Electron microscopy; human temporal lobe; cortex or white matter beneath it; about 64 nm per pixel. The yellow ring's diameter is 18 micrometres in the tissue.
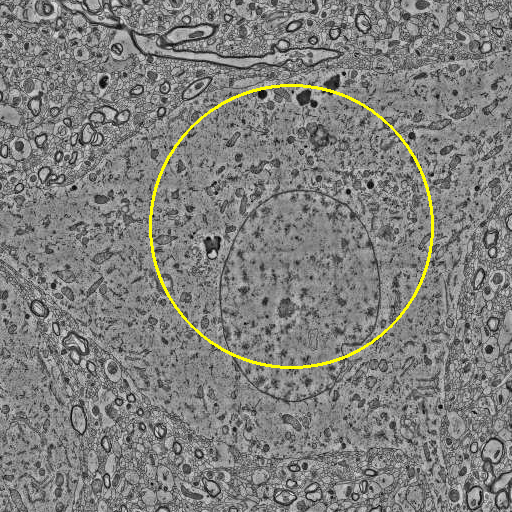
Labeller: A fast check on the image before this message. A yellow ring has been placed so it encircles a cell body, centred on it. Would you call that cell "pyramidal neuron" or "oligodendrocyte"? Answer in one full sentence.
In this image, a pyramidal neuron is the cell on which the yellow ring is centred.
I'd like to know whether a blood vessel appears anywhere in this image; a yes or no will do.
No, none shows.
